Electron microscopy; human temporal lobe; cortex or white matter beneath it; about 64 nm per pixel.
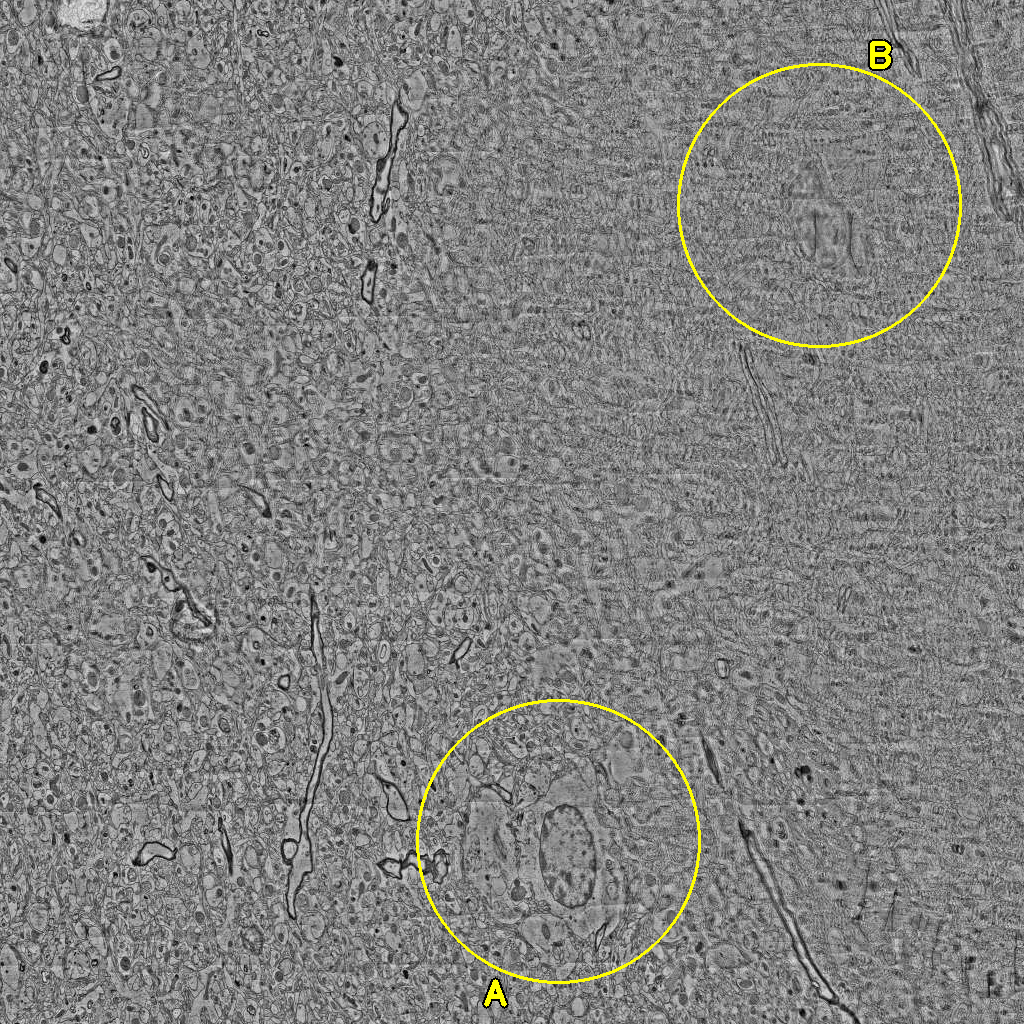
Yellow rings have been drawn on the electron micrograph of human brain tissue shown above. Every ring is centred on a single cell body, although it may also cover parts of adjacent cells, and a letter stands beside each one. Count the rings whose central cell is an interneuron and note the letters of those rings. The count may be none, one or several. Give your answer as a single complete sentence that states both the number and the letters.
Rings centred on an interneuron are absent from the micrograph, putting the count at zero.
